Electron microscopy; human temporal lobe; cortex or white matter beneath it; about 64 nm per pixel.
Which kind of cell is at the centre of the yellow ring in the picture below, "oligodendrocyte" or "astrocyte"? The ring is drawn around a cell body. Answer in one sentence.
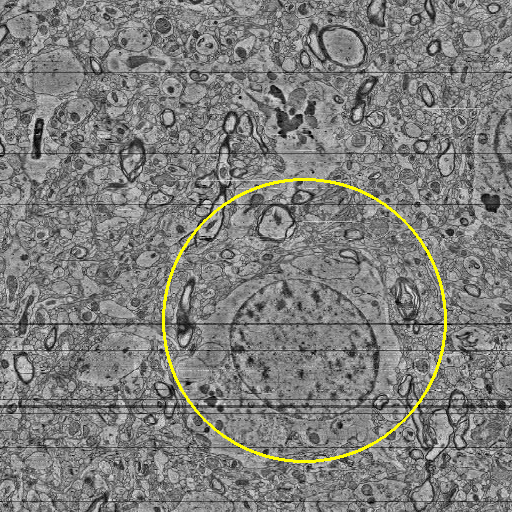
The ring's central cell is an astrocyte.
